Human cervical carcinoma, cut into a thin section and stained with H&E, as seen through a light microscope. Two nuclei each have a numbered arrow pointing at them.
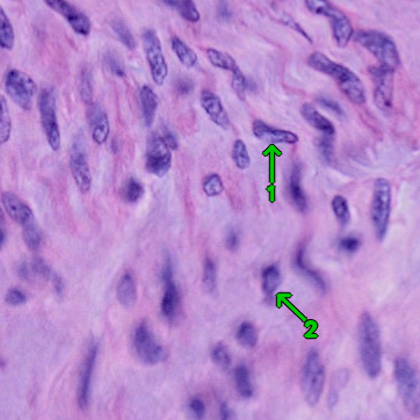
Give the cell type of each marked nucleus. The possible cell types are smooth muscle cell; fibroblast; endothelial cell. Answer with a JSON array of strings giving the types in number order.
["smooth muscle cell", "fibroblast"]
